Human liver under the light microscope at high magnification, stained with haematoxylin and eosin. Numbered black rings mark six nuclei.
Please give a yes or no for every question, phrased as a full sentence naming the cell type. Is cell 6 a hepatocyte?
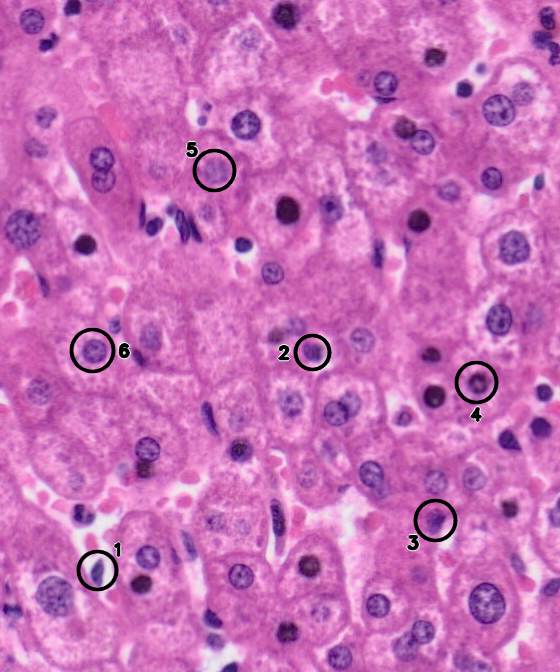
Yes, the cell indicated by number 6 is a hepatocyte.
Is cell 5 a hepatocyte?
Yes, number 5 in this section denotes a hepatocyte.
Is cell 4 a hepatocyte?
Yes, the cell that is numbered 4 is a hepatocyte.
